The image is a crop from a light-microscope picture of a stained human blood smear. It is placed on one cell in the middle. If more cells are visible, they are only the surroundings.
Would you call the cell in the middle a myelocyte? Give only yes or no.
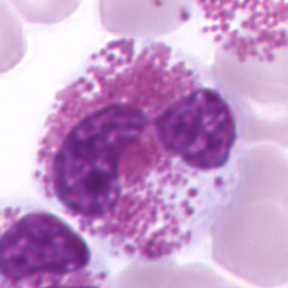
no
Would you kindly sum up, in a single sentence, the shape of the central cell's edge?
The periphery of this cell is uneven, with ragged portions or projections.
